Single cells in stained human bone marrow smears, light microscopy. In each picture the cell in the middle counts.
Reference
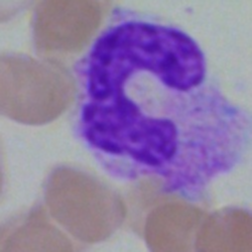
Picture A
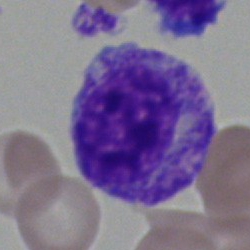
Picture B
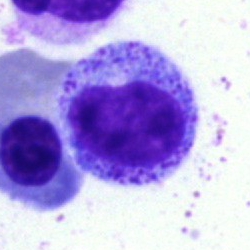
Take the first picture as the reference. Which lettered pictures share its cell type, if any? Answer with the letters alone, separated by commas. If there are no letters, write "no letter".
no letter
